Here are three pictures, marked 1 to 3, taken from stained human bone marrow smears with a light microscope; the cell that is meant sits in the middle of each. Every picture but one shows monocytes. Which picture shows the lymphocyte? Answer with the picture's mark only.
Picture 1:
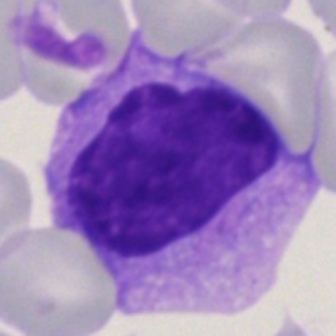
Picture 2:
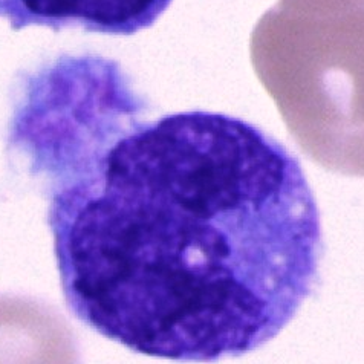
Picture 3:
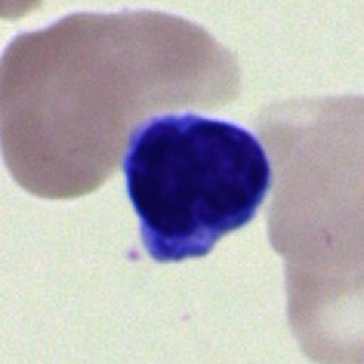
3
